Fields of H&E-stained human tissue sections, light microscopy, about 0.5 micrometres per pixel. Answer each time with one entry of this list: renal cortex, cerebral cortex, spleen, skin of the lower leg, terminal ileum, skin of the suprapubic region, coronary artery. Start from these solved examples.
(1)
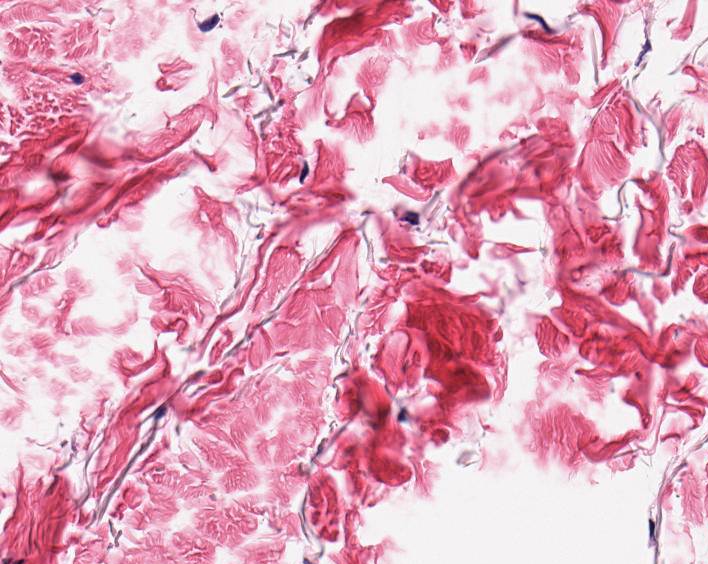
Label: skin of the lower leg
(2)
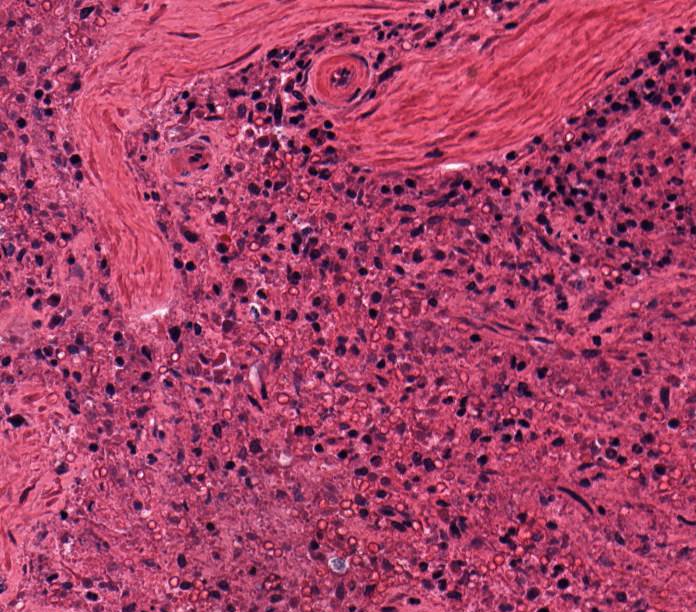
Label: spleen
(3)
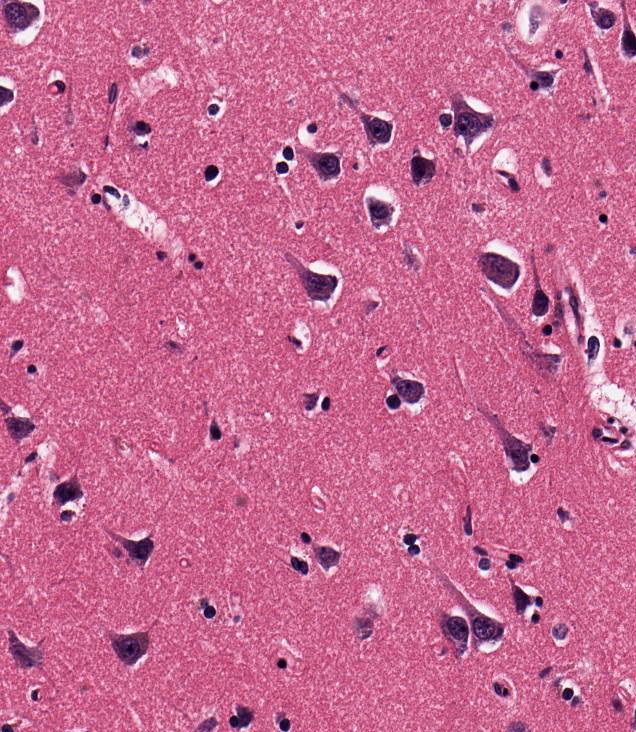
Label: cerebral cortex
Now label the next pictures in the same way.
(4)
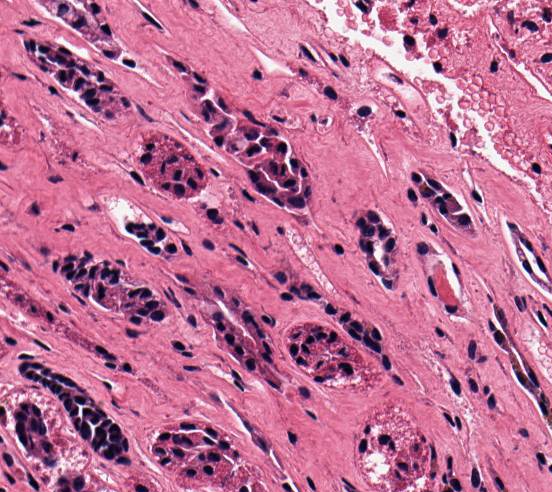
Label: renal cortex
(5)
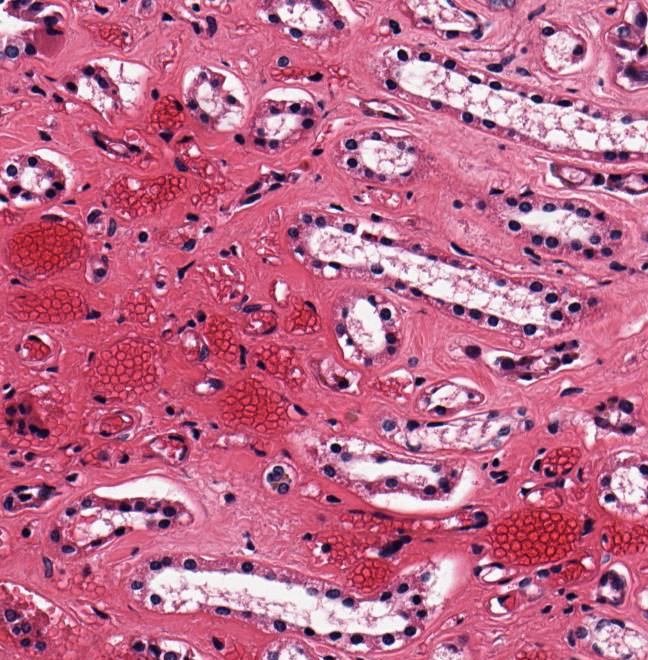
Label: renal cortex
